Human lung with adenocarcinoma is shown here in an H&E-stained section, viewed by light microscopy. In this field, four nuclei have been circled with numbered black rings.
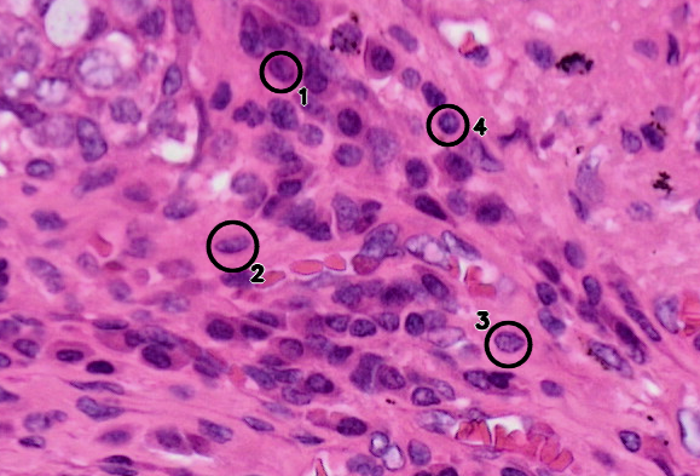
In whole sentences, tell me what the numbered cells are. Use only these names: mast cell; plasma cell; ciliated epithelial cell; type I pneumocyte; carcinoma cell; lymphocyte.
Cell 1 is a plasma cell, cell 2 is a mast cell, cell 3 is a mast cell and cell 4 is a mast cell.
